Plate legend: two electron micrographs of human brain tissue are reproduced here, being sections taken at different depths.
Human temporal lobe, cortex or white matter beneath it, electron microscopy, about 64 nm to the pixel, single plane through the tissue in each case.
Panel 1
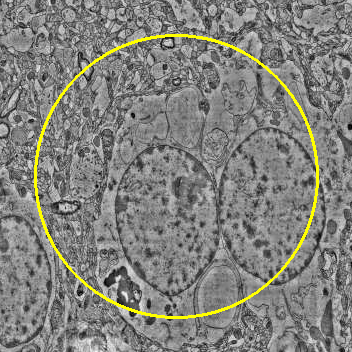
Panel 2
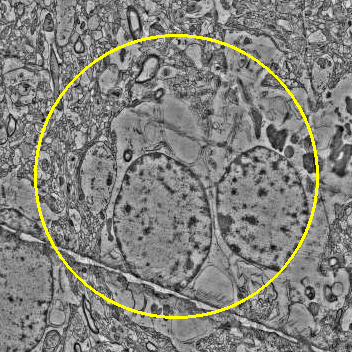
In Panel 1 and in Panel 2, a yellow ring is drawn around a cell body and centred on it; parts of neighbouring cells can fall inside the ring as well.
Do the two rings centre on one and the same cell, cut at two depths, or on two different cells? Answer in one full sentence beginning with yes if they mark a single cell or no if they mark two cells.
Yes, the same individual cell is enclosed by both rings.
